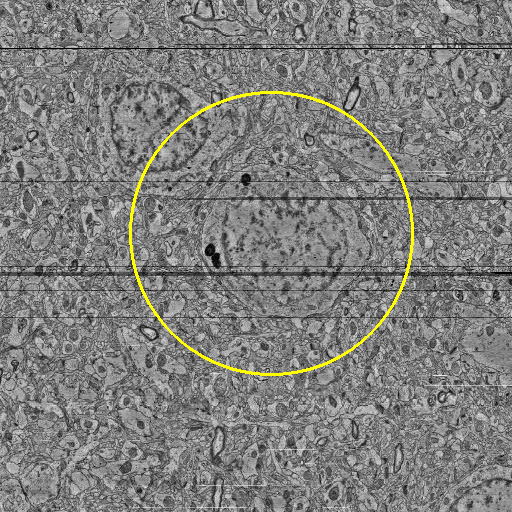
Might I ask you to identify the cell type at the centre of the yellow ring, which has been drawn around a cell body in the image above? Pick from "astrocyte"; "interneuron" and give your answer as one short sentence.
The centre of the ring falls on an interneuron.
